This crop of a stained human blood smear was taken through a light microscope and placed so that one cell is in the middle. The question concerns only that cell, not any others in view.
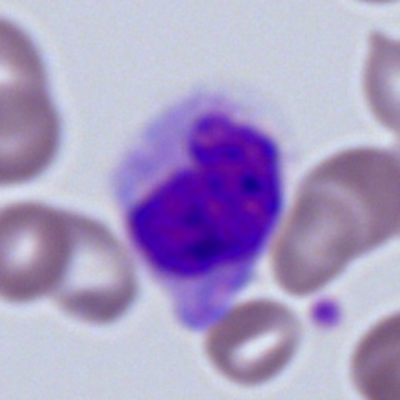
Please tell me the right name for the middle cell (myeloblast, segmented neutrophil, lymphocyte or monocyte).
monocyte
